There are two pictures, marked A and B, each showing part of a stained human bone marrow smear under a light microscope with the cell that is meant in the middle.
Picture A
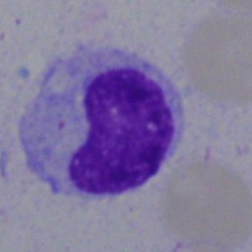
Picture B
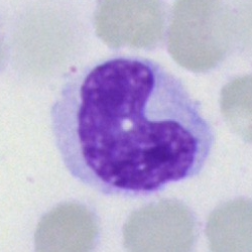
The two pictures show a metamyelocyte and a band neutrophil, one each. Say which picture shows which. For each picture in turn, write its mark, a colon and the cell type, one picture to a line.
A: metamyelocyte
B: band neutrophil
